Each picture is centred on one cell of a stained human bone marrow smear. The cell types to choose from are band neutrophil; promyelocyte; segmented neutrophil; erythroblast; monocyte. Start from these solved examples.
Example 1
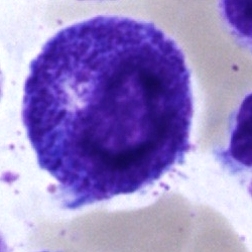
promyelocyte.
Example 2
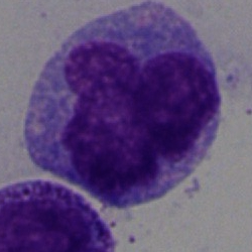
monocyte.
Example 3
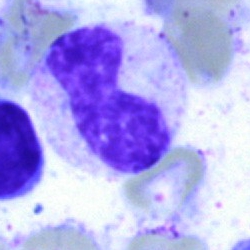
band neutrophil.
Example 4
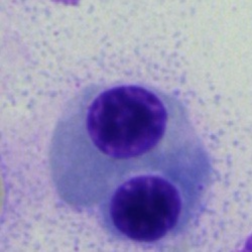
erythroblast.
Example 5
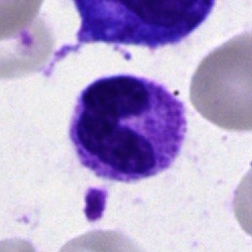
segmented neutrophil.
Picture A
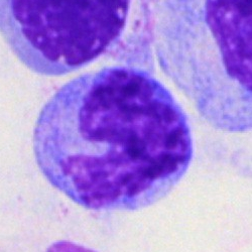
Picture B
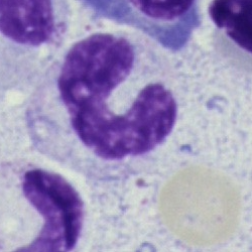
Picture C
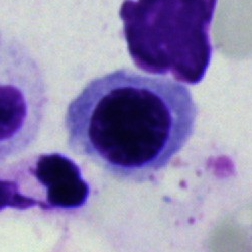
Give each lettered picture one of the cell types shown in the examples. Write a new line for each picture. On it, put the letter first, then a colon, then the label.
A: monocyte.
B: band neutrophil.
C: erythroblast.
